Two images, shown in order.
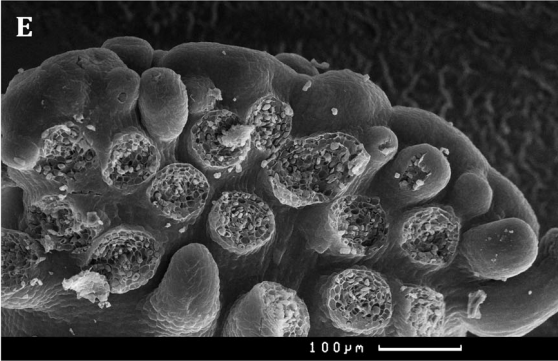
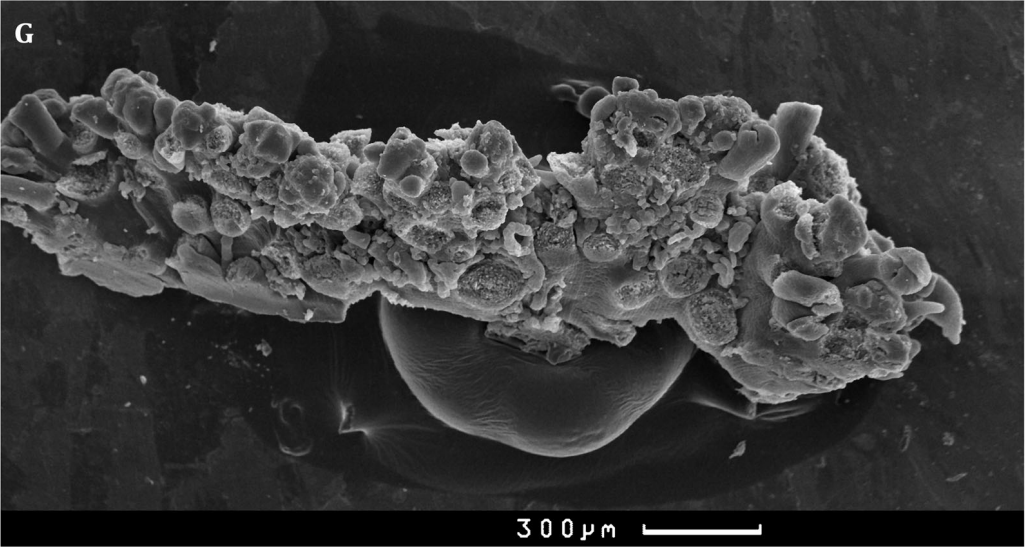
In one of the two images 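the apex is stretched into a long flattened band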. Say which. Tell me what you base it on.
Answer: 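The second image. Second image: the apex forms an elongated ribbon-like band crowded with many buds and stumps. First image: the apex is a broad but compact rounded head with buds and stumps around it.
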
